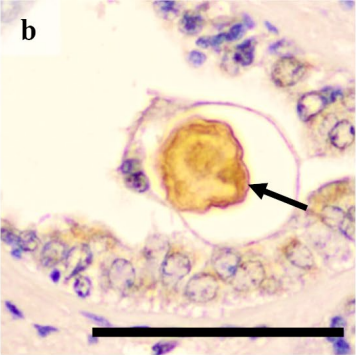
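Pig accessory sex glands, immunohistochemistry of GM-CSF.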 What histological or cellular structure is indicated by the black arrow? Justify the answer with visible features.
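Corpora amylacea. A rounded, layered, brown body lies free in the gland lumen. It is surrounded by a thin clear halo and membrane. It is far larger than the epithelial nuclei nearby.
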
